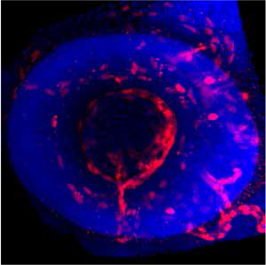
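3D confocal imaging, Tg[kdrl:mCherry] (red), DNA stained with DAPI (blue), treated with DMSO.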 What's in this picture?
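This is a lateral view of a zebrafish embryonic eye whose retina is filled with densely packed blue nuclei around a central, darker lens region. Red hyaloid vessels form a ring around the lens and connect to a vessel that enters from the ventral side of the eye. Further red branching vessels run across the surface of the eye toward its dorsal and lateral edges.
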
